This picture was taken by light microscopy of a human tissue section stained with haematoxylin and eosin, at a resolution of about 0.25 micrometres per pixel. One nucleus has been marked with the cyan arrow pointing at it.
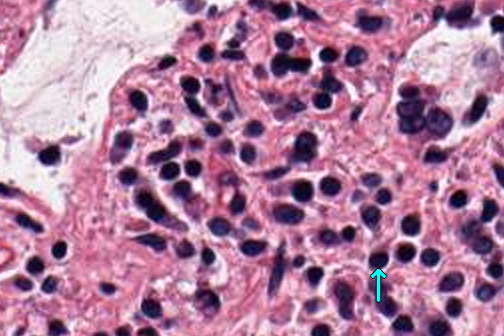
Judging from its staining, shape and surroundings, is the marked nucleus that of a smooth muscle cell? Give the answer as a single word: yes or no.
no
